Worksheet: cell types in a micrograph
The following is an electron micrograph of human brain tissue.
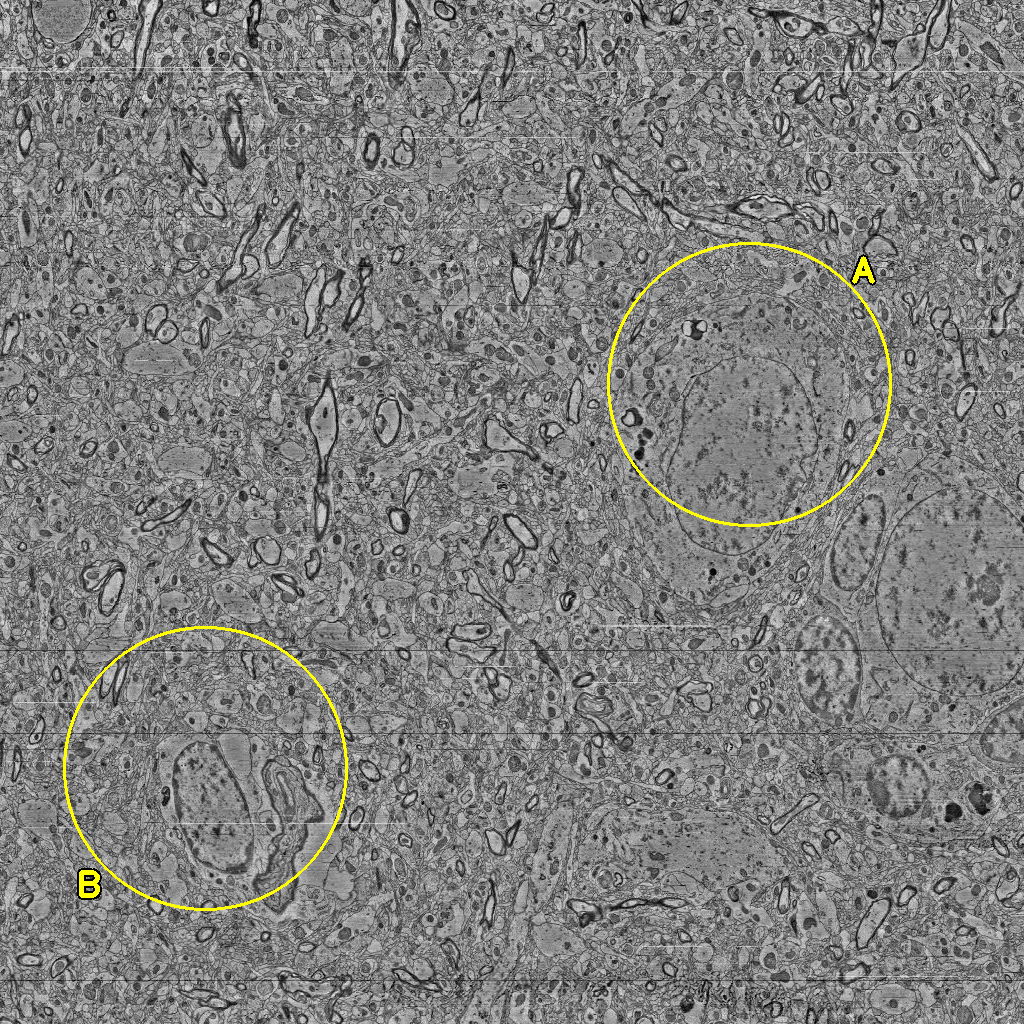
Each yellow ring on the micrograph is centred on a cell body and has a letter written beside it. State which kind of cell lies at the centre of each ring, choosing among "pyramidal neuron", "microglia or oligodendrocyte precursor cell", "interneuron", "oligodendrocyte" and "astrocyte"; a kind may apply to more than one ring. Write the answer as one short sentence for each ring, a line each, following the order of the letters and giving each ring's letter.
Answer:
Ring A has a pyramidal neuron in its centre.
Ring B has a microglial cell or oligodendrocyte precursor cell in its centre.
